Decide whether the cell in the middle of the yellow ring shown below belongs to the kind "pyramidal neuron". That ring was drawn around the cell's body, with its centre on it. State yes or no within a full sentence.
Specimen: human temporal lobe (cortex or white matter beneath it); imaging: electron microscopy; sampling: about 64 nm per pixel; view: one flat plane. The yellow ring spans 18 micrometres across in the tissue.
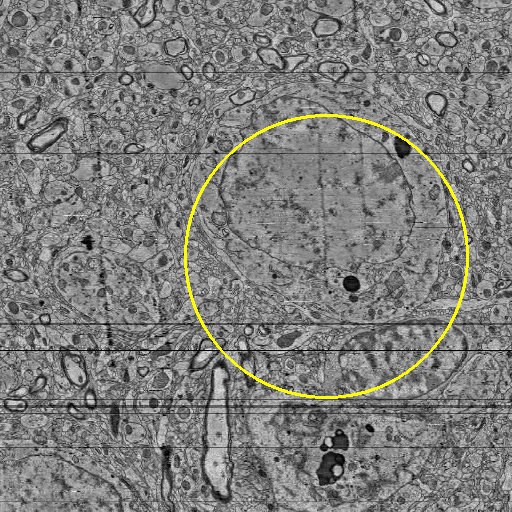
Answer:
Yes, the cell whose body lies at the ring's centre in the picture belongs to that kind.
